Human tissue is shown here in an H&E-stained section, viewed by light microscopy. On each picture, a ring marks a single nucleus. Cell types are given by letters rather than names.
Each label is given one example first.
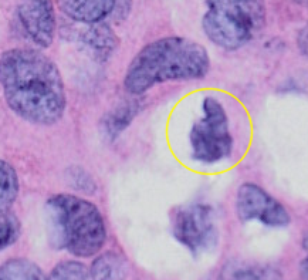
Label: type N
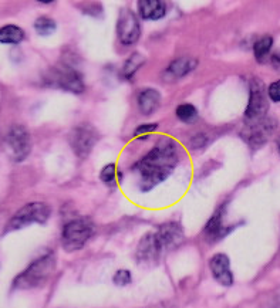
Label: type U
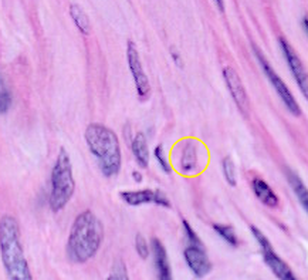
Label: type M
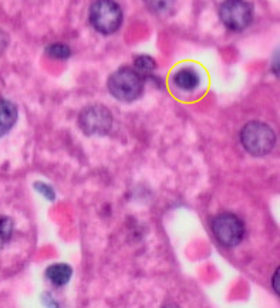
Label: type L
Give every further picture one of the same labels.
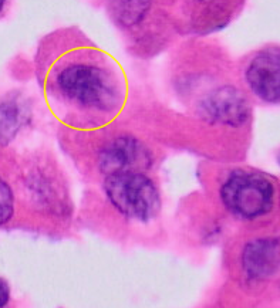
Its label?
type N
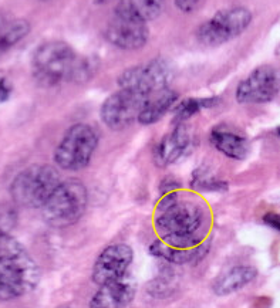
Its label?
type U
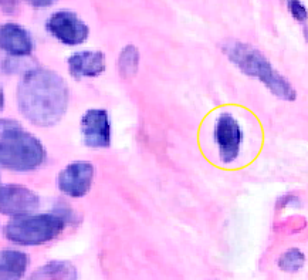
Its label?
type L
